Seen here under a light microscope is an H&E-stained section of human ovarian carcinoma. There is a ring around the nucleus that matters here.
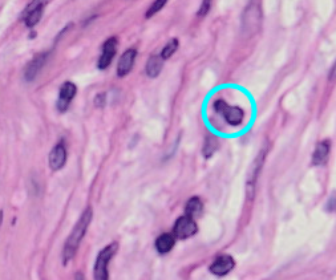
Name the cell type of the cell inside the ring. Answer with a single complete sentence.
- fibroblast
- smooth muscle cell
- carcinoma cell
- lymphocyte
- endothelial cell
On this particular slide, the cell inside the ring is a lymphocyte.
